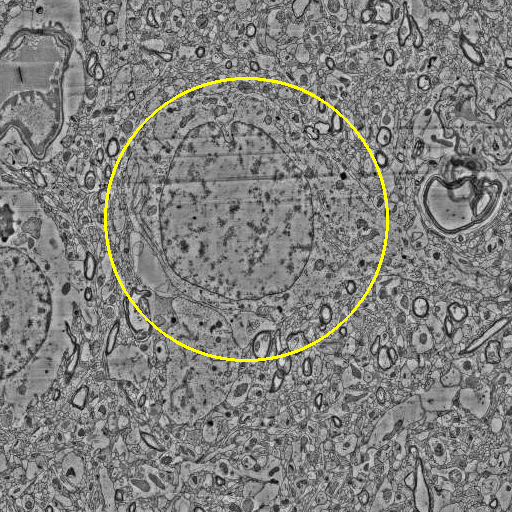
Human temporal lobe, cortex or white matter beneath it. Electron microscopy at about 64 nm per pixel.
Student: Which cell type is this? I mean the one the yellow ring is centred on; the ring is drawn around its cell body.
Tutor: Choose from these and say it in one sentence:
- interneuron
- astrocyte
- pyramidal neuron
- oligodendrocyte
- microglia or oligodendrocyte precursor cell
The cell the ring is centred on is a pyramidal neuron.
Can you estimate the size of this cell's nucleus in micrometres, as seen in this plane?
The nucleus comes to roughly 12 by 10 micrometres in this plane.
